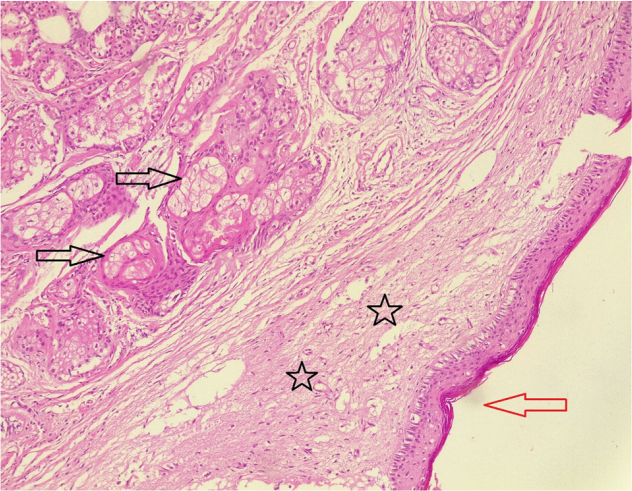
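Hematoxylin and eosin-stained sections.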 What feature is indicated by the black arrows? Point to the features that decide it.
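Sebaceous glands. Lobules of large cells with pale, finely vacuolated cytoplasm. Smaller basal cells with darker nuclei rim the lobules.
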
